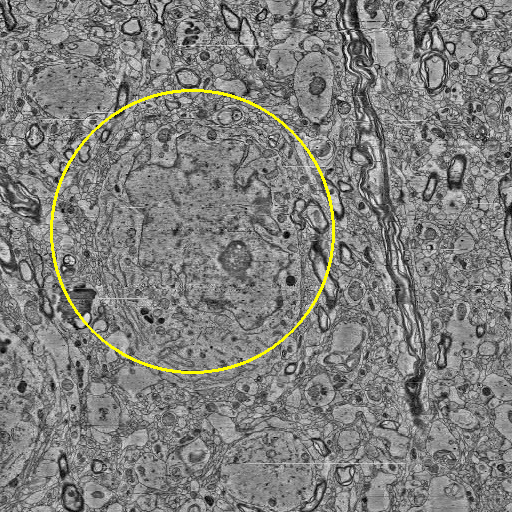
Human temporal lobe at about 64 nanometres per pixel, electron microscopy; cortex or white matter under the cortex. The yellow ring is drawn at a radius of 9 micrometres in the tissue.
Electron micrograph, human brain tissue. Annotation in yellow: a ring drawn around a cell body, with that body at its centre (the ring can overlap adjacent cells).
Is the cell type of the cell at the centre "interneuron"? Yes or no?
Yes, it is of that type.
